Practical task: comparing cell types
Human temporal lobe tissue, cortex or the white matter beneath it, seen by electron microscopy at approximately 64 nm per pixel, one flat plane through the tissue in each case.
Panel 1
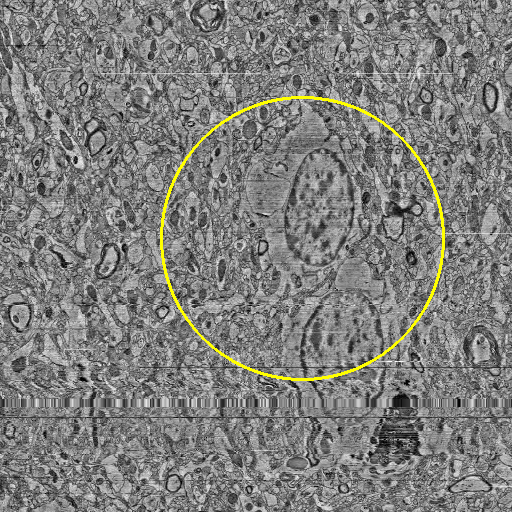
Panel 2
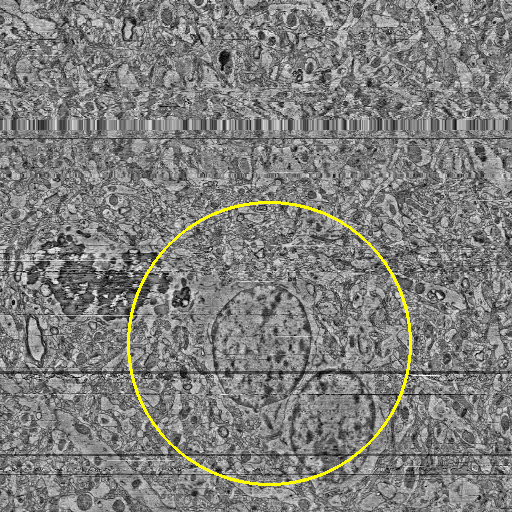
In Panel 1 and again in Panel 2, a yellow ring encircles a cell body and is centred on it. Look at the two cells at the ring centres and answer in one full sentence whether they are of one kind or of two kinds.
The two cells sitting at the ring centres of Panels 1 and 2 are of one kind.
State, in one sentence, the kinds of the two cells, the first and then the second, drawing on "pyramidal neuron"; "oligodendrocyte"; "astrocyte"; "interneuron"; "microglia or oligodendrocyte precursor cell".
In both pictures the ring is centred on an astrocyte.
